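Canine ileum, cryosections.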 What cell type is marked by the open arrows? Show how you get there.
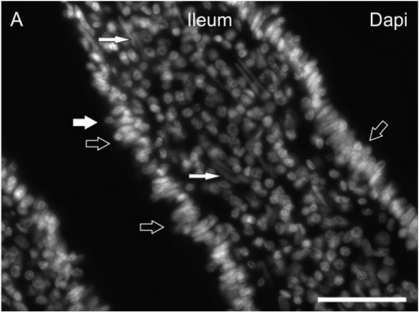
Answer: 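Epithelial cells. The arrows point to a dense surface layer of tall, closely packed oval nuclei. This layer lines the outer border of the tissue.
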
